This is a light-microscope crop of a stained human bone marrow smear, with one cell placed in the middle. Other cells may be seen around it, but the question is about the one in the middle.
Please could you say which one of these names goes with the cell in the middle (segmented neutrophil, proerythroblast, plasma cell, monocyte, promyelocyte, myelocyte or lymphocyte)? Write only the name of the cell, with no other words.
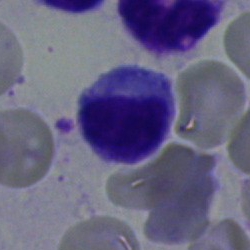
lymphocyte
